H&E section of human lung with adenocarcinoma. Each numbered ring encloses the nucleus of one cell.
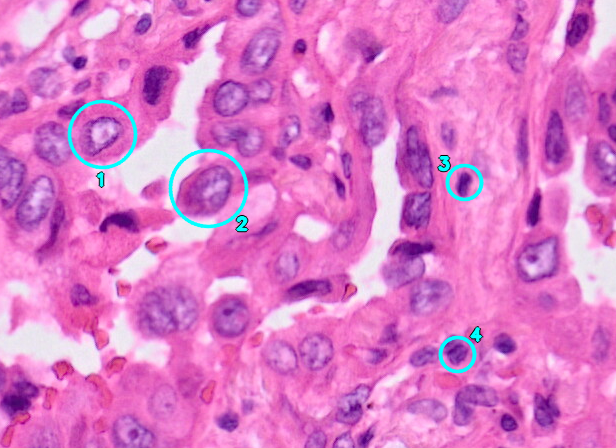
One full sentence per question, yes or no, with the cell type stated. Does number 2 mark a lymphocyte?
No, the cell at marker 2 is not a lymphocyte; it is a carcinoma cell.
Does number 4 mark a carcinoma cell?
No, cell 4 is a lymphocyte and should not be called a carcinoma cell.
